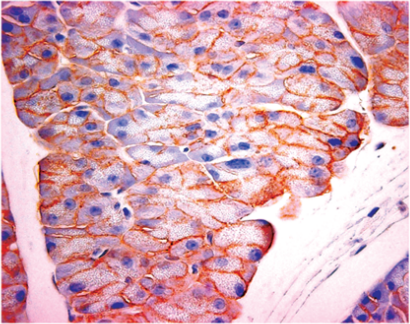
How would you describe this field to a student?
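Pancreatic acinar cells forming tightly packed acini. Cells are pyramidal, with round blue nuclei toward the base and pale, finely granular cytoplasm. A brown precipitate outlines nearly every cell, tracing the borders between neighbouring cells and the outer rim of the acini, while the cytoplasm itself stays largely unstained. Thin pale connective tissue separates lobules; at the right edge a band of loose fibrous tissue with elongated nuclei runs alongside the acinar tissue.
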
